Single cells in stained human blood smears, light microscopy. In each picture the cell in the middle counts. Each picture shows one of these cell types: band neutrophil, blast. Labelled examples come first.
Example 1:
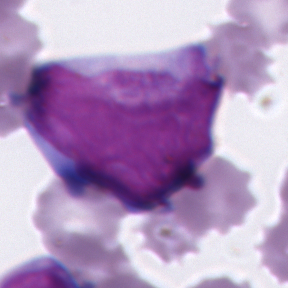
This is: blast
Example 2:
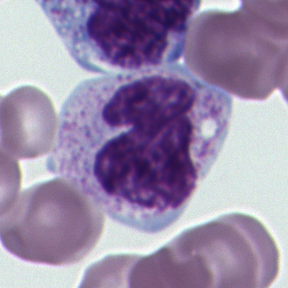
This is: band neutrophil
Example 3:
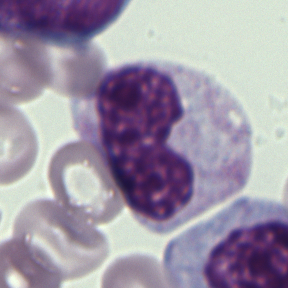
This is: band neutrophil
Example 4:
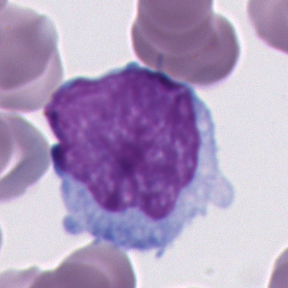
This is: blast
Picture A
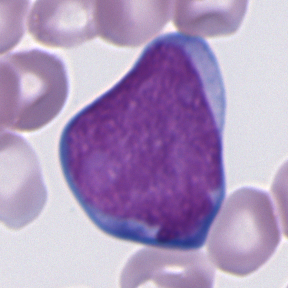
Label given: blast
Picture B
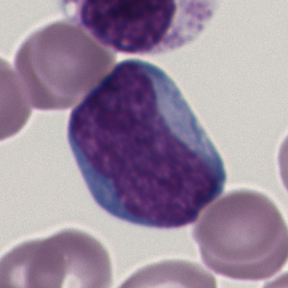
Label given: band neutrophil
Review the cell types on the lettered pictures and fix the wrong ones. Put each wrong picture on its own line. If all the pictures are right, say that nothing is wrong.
Wrong: B (band neutrophil); correct: blast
